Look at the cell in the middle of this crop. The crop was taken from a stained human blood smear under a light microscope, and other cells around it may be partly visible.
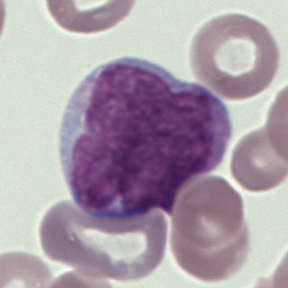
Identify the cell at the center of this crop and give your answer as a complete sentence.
The cell centred in this crop is categorized as an atypical promyelocyte.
